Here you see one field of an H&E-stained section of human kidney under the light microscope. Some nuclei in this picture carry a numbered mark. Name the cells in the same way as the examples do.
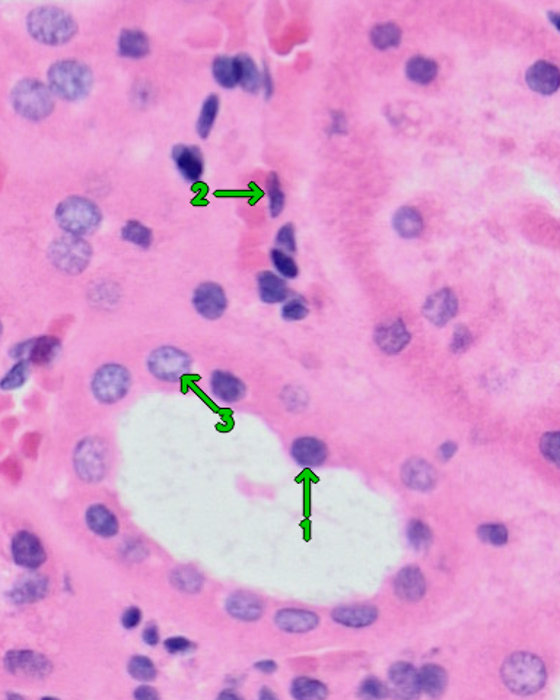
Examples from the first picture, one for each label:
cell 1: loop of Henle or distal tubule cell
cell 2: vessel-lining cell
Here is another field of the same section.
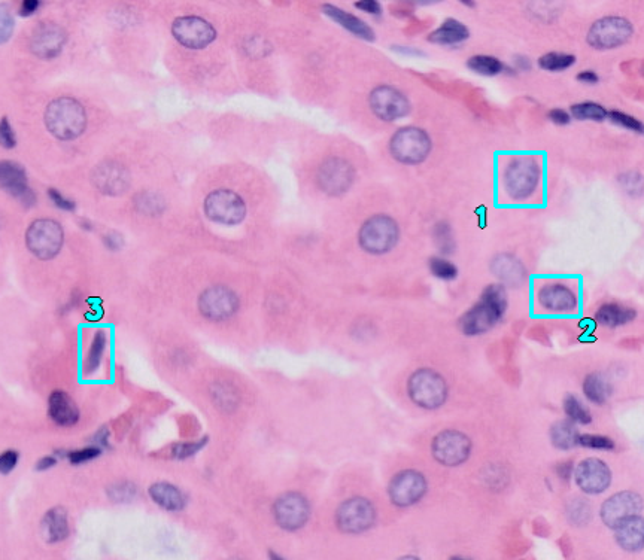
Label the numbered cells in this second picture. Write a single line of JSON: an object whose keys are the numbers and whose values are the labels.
{"1": "loop of Henle or distal tubule cell", "2": "loop of Henle or distal tubule cell", "3": "vessel-lining cell"}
